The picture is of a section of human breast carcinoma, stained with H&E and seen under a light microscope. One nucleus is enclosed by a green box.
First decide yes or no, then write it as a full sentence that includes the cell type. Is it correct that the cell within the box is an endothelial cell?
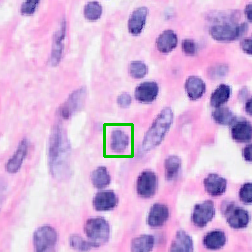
No, it is a lymphocyte, not an endothelial cell, that the cell within the box represents.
